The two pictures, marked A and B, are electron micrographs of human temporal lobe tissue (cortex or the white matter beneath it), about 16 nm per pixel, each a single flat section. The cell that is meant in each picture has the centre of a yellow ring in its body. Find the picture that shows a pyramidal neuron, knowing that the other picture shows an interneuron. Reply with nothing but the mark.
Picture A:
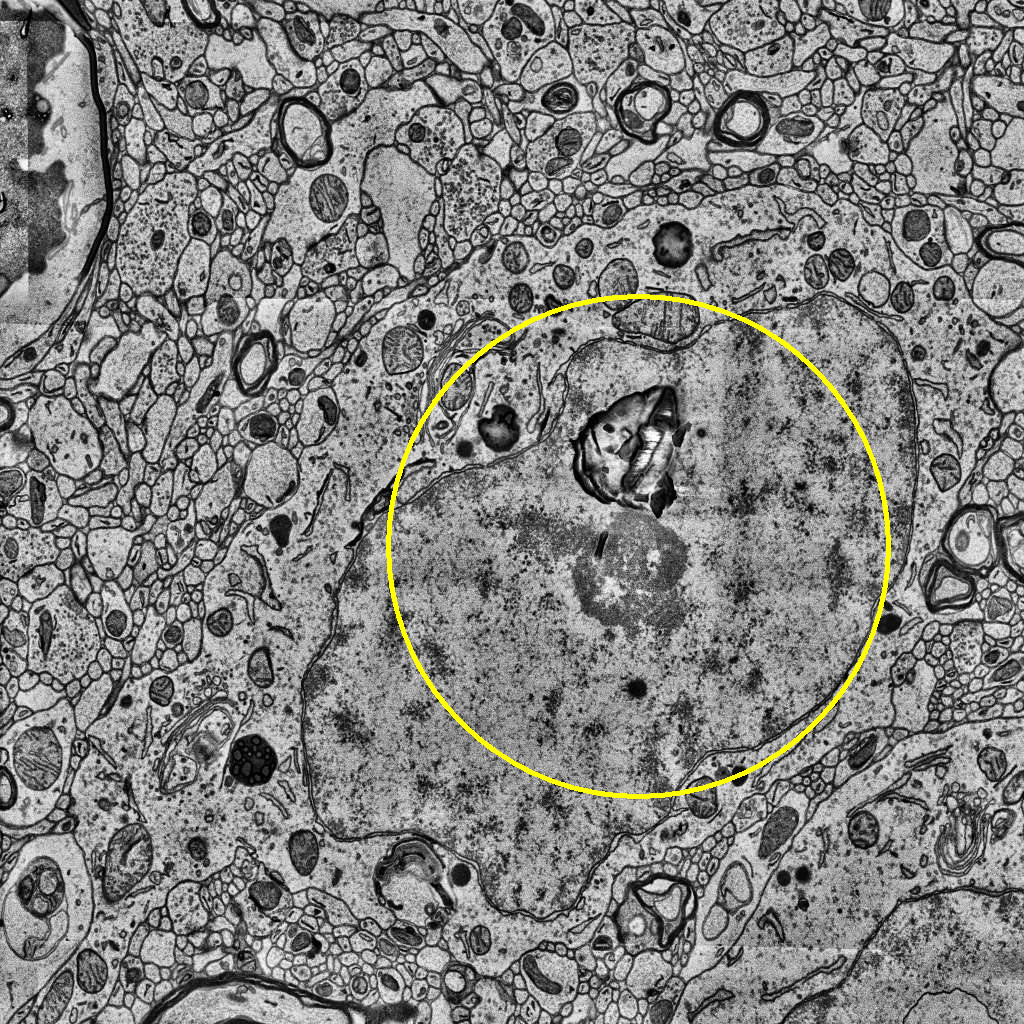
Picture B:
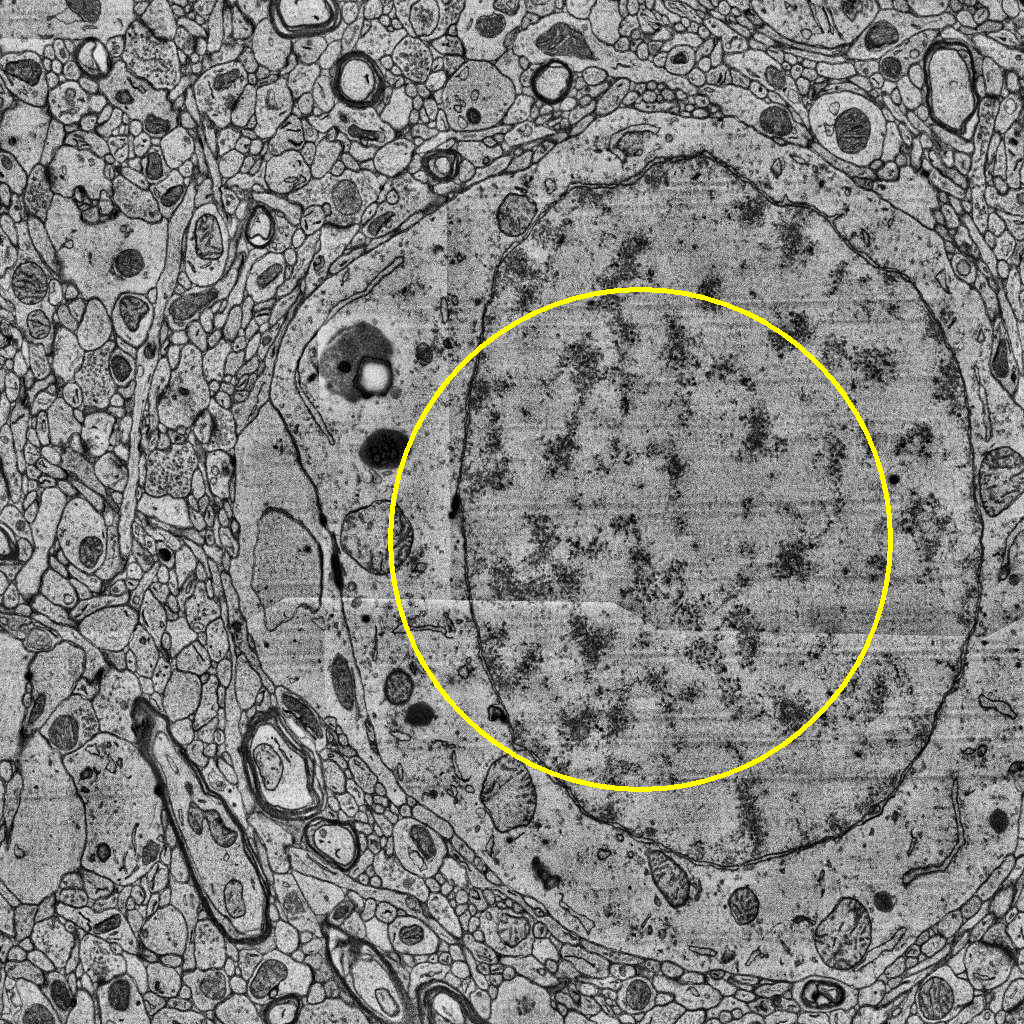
B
